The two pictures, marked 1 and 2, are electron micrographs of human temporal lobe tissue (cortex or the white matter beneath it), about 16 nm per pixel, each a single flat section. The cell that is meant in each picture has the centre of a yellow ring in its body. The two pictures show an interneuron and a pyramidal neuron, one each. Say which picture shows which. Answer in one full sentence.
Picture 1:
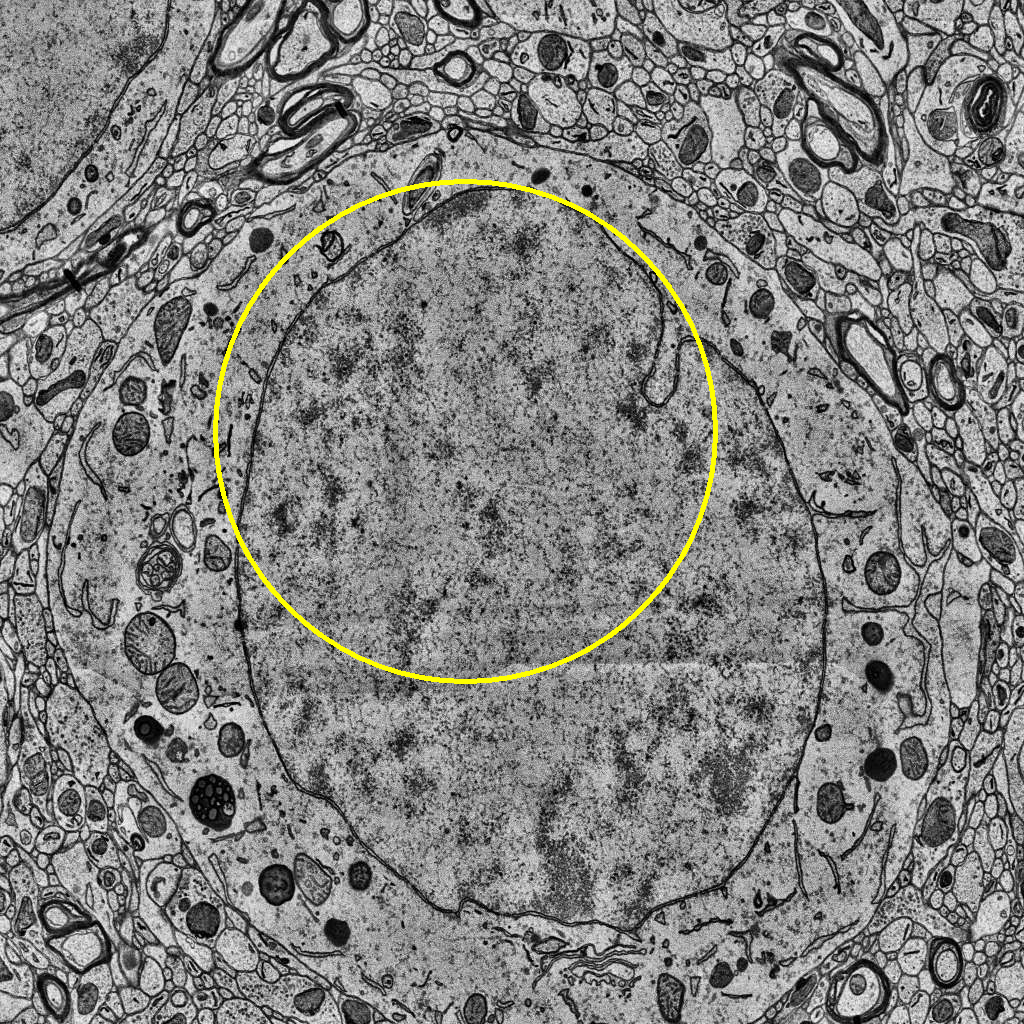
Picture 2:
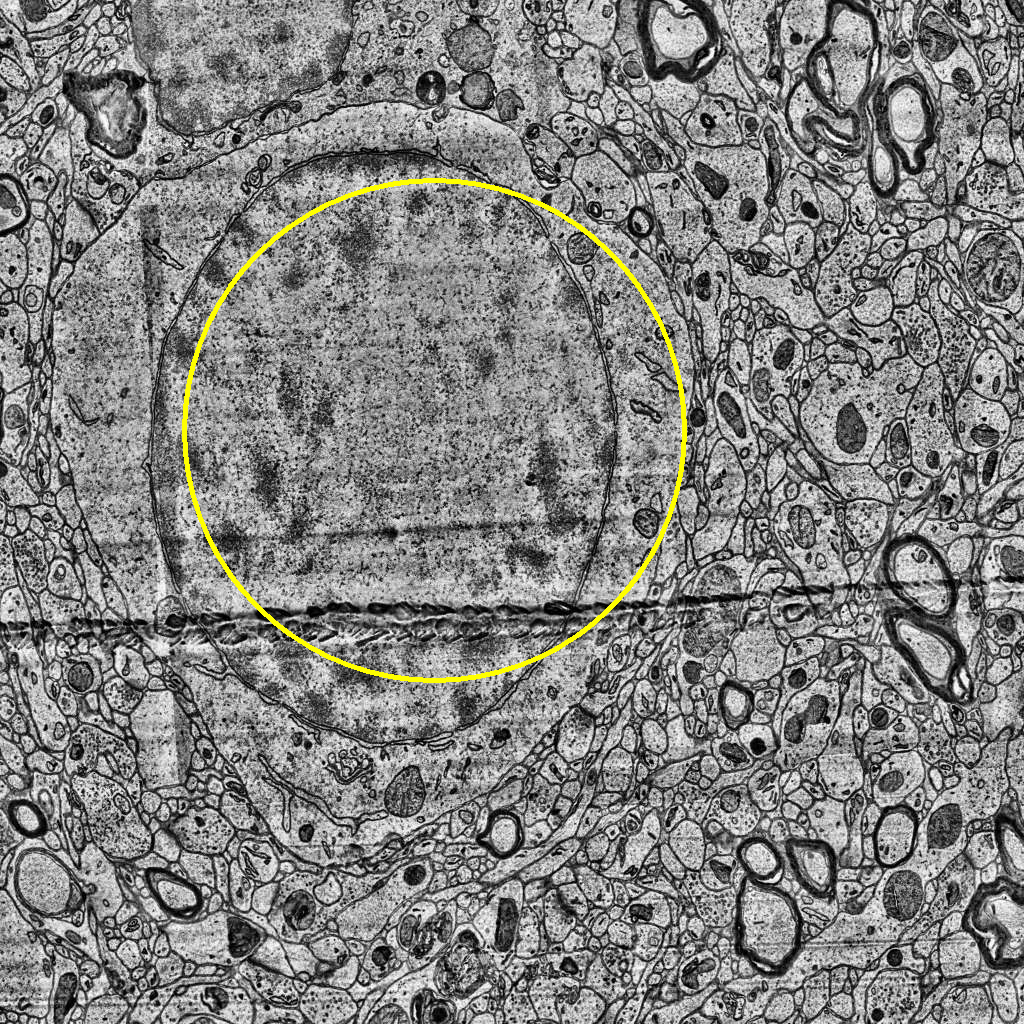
It is picture 1 that shows a pyramidal neuron, and picture 2 that shows an interneuron.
